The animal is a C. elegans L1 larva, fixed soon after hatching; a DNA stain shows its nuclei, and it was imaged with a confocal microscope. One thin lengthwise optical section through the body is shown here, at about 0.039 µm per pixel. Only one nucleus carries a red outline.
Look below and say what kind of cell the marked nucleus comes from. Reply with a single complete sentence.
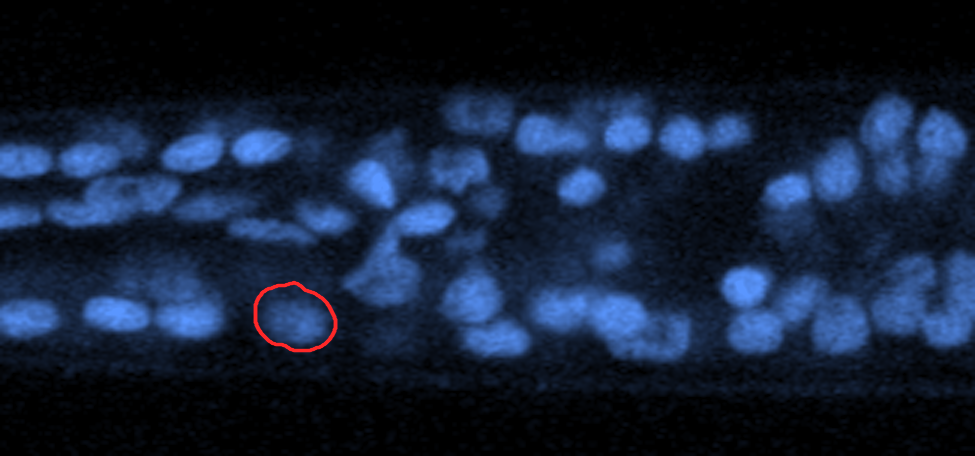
The marked nucleus is that of a body wall muscle cell.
